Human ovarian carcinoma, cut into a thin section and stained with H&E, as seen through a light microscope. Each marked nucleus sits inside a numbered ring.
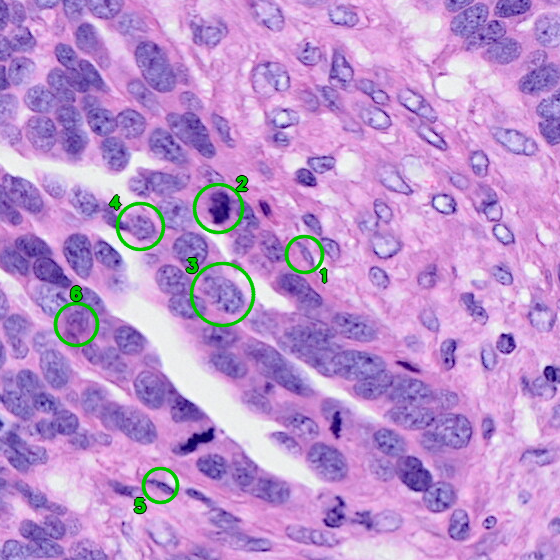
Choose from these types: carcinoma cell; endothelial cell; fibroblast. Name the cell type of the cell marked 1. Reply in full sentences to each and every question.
The cell numbered 1 represents a fibroblast.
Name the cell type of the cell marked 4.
The nucleus labelled 4 belongs to a carcinoma cell.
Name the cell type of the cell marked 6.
The cell assigned the number 6 is a carcinoma cell.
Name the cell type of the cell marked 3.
Cell number 3 in this section is a carcinoma cell.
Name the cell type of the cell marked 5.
Identified by the number 5, the cell is a fibroblast.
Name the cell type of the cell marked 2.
Of the numbered cells, the one labelled 2 is a carcinoma cell.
